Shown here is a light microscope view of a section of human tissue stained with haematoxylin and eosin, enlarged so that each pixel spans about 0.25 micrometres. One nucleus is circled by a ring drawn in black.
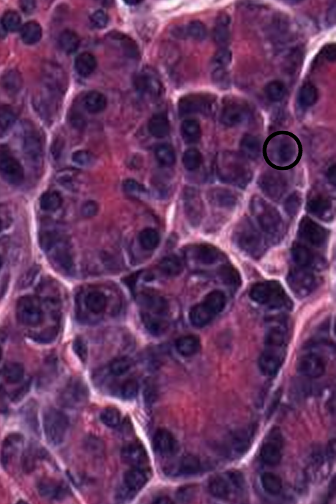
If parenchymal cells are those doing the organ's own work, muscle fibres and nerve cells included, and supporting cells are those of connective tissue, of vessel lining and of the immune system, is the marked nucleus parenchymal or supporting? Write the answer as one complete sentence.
A parenchymal cell holds the marked nucleus, and that cell is a pancreatic acinar cell.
